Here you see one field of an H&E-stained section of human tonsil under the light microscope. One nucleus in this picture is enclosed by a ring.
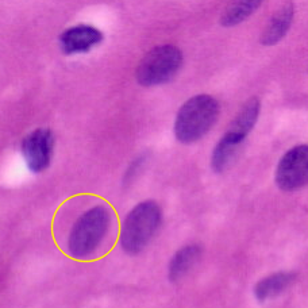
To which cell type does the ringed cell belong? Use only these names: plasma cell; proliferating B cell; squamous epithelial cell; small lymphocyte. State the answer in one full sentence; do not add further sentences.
In the tissue at hand, the ringed cell is a squamous epithelial cell.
